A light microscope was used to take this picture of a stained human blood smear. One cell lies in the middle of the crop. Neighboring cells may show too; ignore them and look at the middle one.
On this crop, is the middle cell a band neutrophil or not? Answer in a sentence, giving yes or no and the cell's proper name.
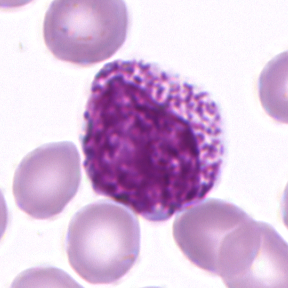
No, the centre of the crop is taken up by a metamyelocyte, not a band neutrophil.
